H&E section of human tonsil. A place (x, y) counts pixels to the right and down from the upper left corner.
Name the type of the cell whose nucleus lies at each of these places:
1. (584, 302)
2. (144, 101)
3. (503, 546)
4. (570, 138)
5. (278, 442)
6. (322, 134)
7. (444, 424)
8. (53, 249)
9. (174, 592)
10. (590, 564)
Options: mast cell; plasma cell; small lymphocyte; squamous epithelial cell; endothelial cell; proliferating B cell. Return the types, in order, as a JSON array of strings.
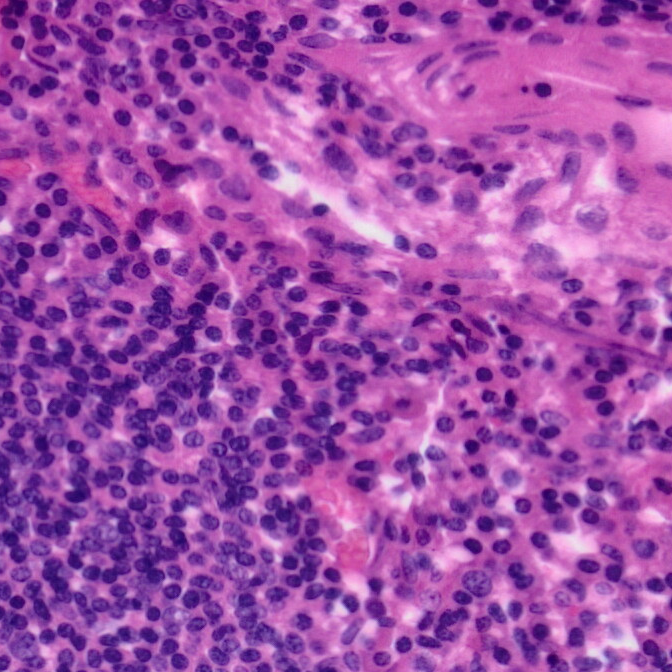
["squamous epithelial cell", "plasma cell", "plasma cell", "squamous epithelial cell", "small lymphocyte", "squamous epithelial cell", "plasma cell", "plasma cell", "small lymphocyte", "plasma cell"]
